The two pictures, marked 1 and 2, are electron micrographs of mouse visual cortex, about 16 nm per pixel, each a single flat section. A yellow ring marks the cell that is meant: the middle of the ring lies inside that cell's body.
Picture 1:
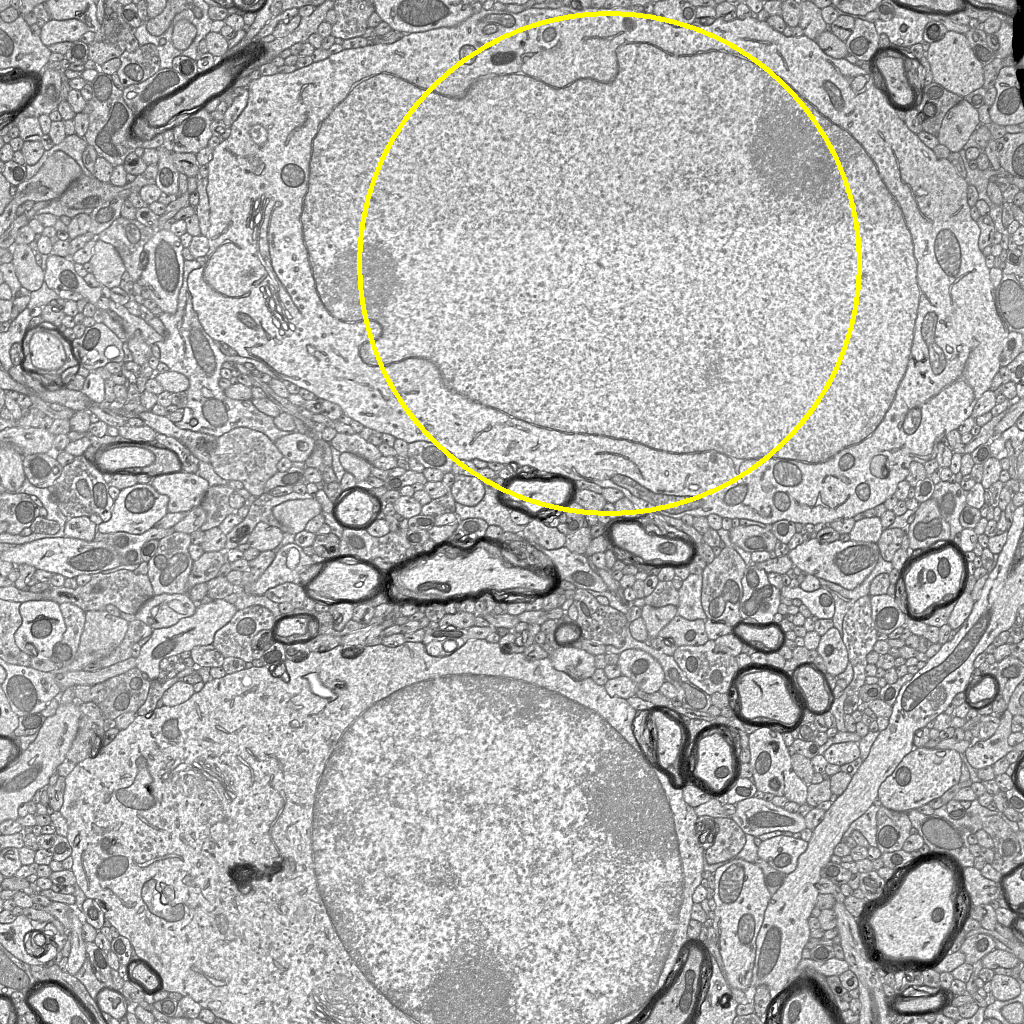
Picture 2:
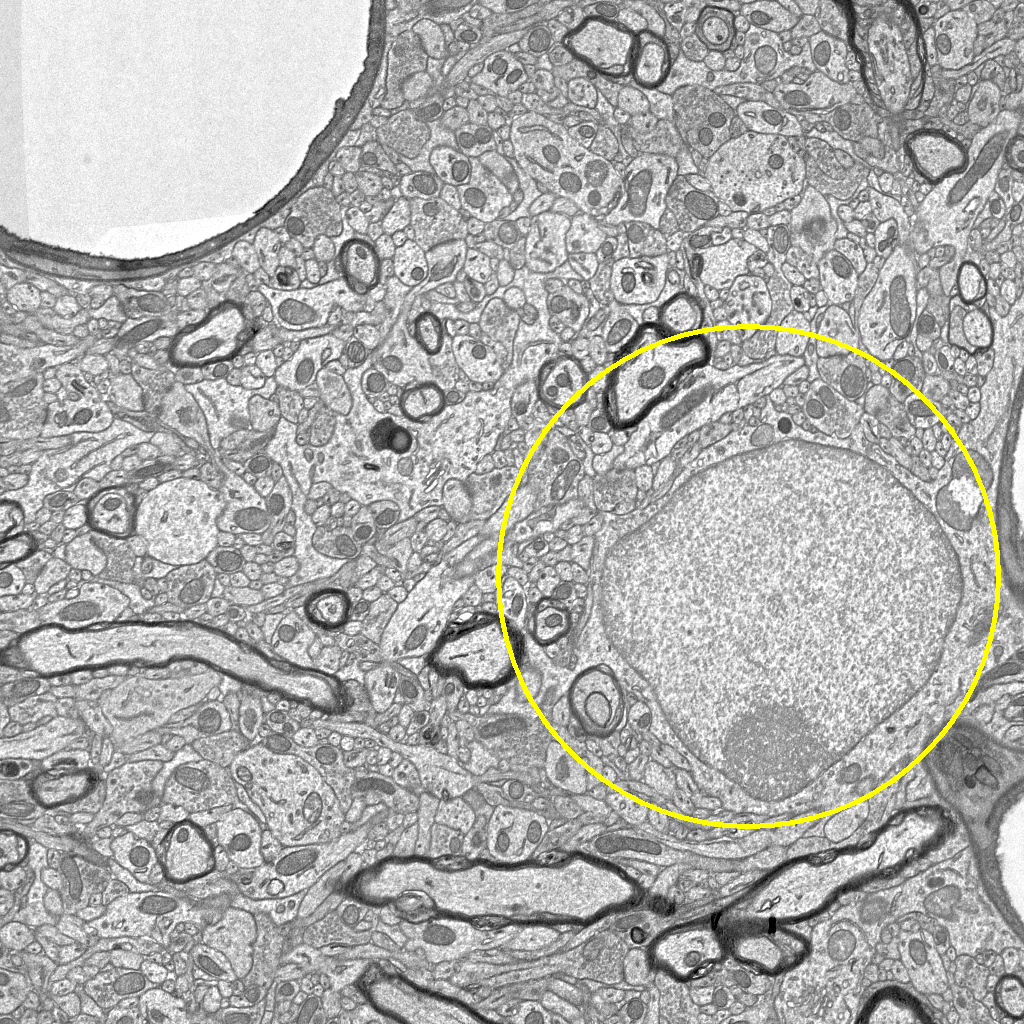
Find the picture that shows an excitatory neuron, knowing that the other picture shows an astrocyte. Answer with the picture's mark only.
1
